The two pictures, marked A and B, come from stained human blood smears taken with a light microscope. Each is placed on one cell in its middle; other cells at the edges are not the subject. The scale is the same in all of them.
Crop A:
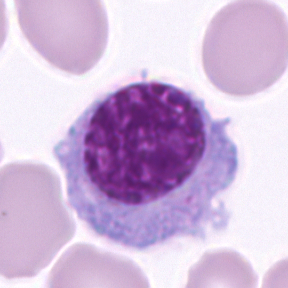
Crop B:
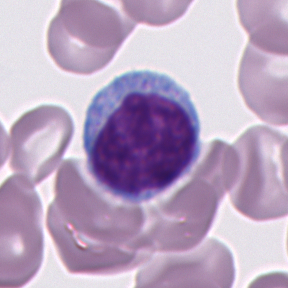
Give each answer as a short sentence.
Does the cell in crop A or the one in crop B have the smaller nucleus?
Crop B shows the smaller nucleus, since that in crop A covers about 1.5 times as much area.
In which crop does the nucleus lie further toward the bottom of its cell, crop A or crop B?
Seen within its cell, the nucleus in crop B lies further toward the bottom.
